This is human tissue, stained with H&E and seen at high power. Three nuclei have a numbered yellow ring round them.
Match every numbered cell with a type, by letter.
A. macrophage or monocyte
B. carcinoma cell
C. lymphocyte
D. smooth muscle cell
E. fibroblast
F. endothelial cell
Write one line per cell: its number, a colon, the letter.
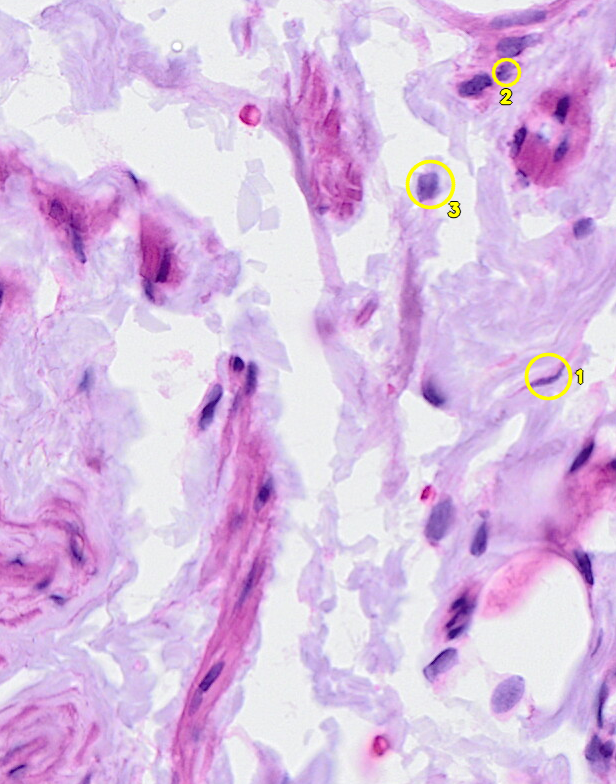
1: E
2: F
3: E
